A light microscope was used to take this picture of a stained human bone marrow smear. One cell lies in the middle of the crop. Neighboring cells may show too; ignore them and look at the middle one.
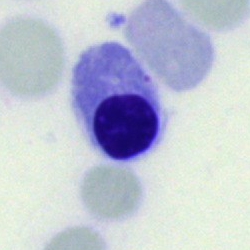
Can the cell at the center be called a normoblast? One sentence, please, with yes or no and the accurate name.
Yes, the cell lying in the centre of the crop is identified as a normoblast.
